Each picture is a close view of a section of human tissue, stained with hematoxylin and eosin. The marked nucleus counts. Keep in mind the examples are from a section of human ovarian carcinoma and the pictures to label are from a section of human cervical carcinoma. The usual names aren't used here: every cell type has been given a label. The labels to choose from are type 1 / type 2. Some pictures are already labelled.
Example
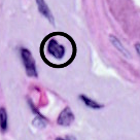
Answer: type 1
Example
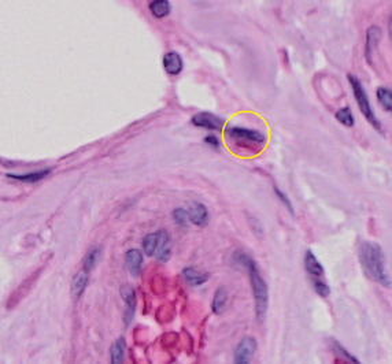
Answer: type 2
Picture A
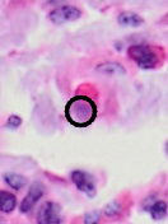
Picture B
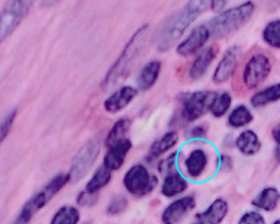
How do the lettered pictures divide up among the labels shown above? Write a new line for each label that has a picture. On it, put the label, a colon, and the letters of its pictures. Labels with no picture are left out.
type 1: B
type 2: A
